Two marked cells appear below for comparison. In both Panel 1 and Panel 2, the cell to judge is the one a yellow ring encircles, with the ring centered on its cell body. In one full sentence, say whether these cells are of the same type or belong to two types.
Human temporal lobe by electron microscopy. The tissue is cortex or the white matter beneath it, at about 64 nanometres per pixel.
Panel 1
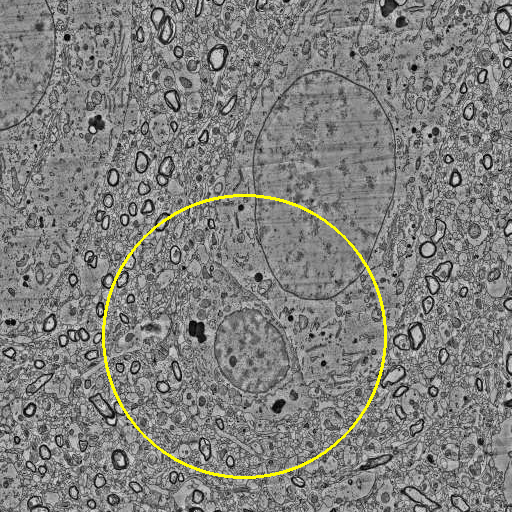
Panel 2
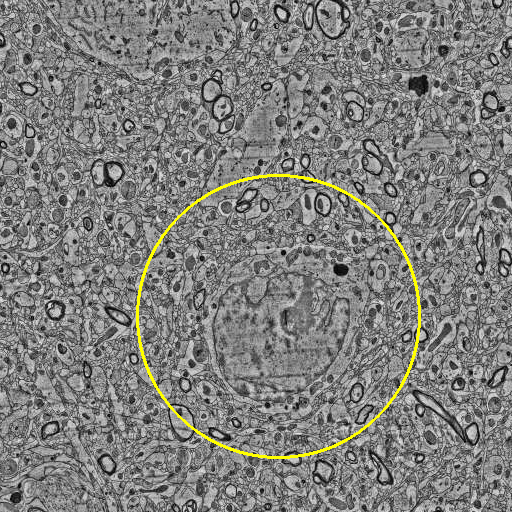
The cell centered in the Panel 1 ring and the one in Panel 2 belong to two types.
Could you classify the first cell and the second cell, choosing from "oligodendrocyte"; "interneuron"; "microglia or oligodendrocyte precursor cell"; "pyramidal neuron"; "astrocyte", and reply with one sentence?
The second cell is an interneuron, while the first is an oligodendrocyte.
